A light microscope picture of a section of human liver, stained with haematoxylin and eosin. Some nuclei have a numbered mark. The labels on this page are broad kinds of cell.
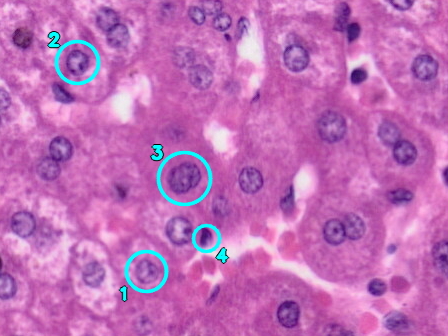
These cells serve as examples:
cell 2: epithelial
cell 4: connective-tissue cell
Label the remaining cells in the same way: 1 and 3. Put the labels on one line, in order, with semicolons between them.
epithelial; epithelial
